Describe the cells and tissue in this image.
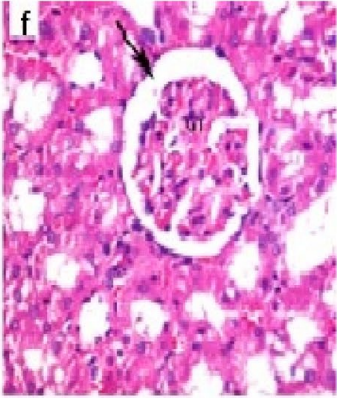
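This is kidney cortex, with a large renal corpuscle at the top surrounded by cross-sections of tubules lined by pink cuboidal cells. The glomerular tuft is a knot of capillary loops with many nuclei, and a wide clear space separates it from the thin surrounding capsule. Around it the tubules show open, clear lumens.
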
